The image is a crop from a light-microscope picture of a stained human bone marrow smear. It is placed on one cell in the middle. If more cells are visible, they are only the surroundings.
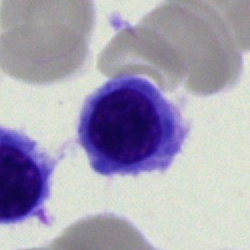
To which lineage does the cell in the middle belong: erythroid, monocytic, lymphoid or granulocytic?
erythroid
